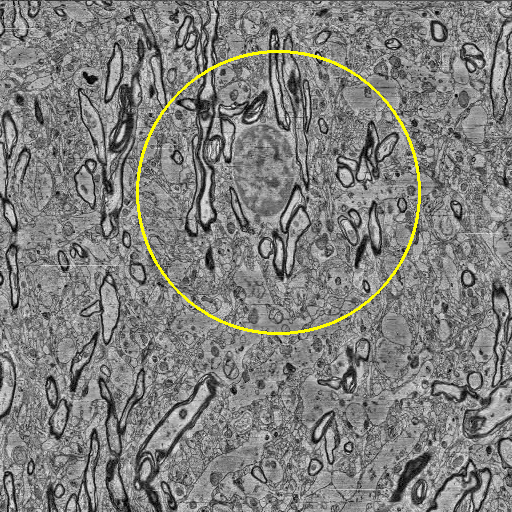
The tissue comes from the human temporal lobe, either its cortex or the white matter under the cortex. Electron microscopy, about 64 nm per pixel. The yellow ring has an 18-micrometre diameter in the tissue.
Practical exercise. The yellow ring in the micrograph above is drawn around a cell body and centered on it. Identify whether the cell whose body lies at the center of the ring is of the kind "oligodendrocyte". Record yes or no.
yes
